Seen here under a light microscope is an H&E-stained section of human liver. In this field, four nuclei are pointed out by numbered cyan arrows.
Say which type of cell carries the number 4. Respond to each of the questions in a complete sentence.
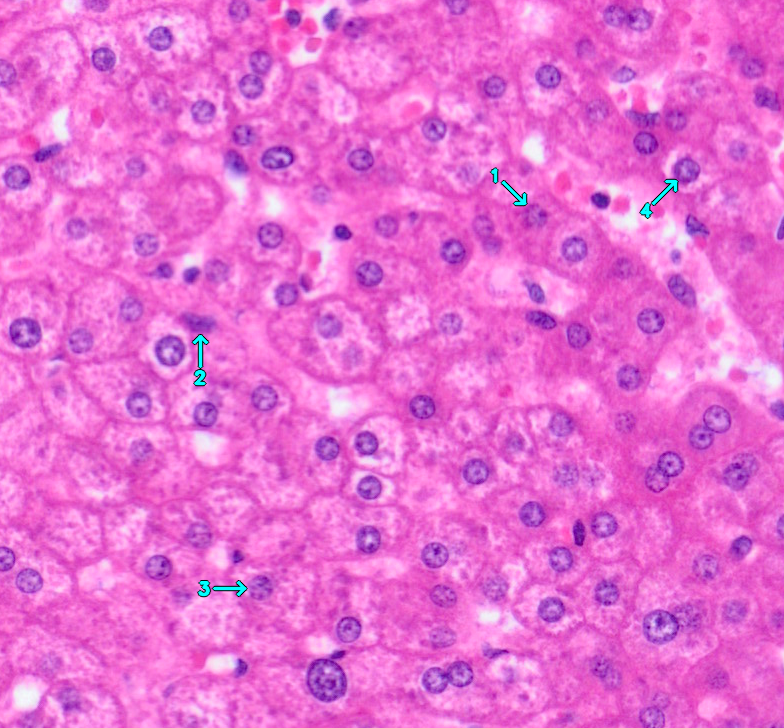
The cell indicated with the number 4 is classed as a hepatocyte.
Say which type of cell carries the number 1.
It is as a hepatocyte that the cell numbered 1 is identified.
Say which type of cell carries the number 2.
That cell with number 2 is a fibroblast or stellate cell.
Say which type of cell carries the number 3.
Cell 3 in the field is a hepatocyte.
